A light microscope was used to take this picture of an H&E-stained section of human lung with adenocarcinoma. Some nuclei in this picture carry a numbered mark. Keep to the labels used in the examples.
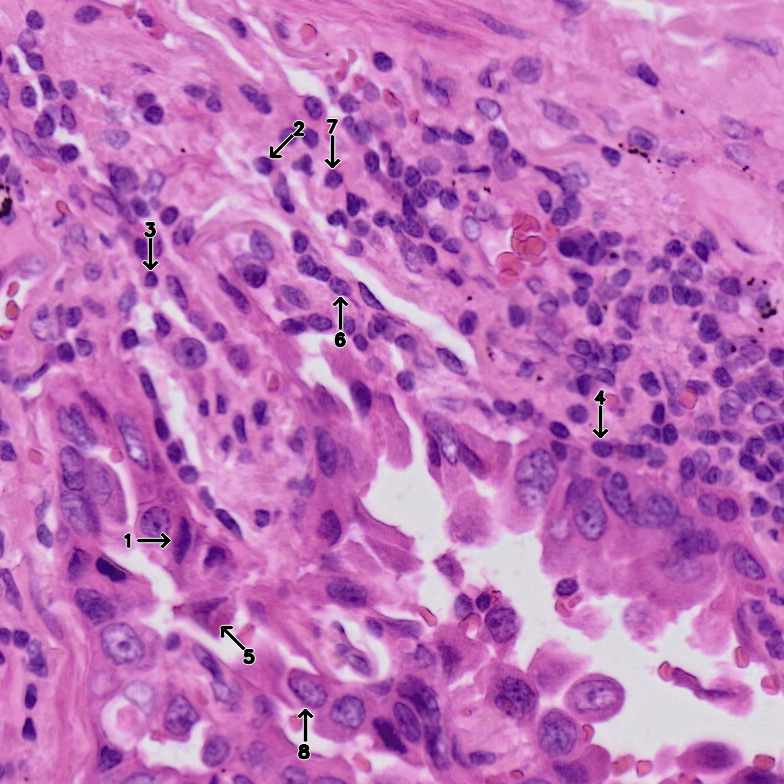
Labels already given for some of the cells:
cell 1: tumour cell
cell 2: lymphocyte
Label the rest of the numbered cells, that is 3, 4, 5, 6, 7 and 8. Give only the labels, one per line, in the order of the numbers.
lymphocyte
lymphocyte
tumour cell
lymphocyte
lymphocyte
tumour cell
